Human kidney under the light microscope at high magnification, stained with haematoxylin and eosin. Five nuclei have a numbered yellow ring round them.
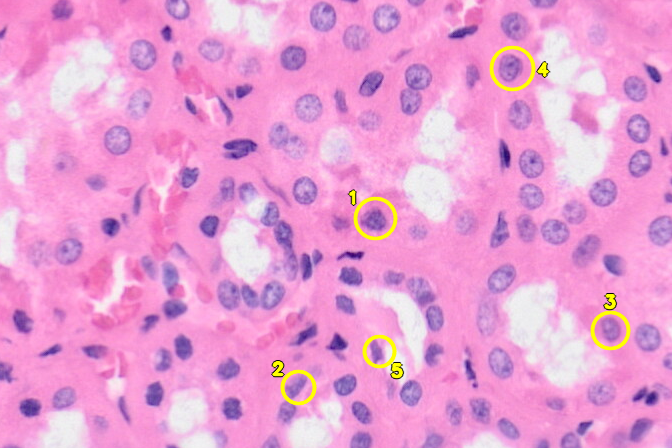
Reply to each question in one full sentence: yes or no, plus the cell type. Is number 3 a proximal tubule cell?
Yes, number 3 corresponds to a proximal tubule cell.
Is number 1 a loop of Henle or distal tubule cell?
No, cell 1 is to be classed as a proximal tubule cell, not a loop of Henle or distal tubule cell.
